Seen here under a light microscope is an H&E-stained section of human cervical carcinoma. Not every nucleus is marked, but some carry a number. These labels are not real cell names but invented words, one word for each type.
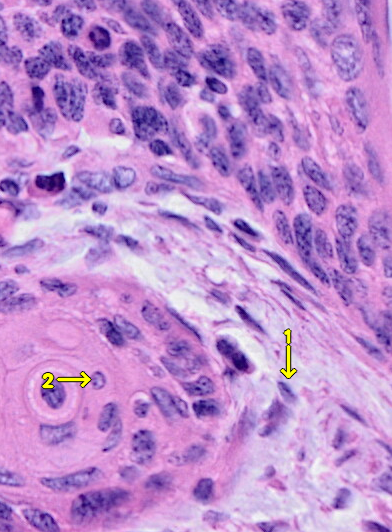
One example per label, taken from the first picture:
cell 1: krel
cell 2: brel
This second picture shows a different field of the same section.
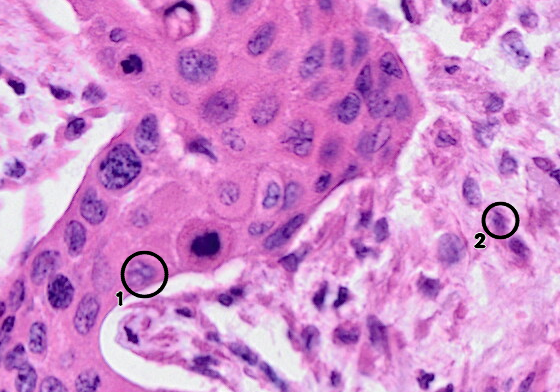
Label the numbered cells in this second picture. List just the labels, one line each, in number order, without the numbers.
brel
krel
